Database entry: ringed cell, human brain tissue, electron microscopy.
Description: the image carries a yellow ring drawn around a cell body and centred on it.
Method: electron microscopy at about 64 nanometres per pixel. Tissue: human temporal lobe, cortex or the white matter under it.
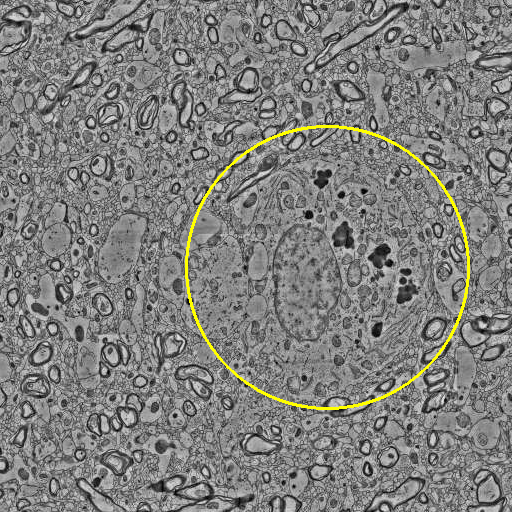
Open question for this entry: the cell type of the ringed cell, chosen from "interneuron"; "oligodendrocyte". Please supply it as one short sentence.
The ringed cell is an interneuron.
